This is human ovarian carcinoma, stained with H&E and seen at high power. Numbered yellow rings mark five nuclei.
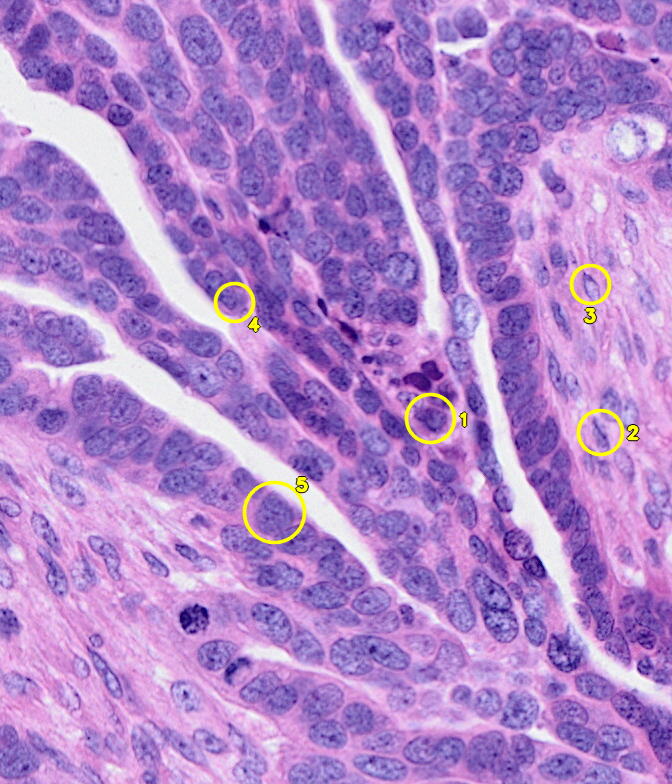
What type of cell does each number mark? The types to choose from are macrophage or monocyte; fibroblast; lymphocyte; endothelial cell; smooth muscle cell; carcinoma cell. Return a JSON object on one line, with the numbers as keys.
{"1": "carcinoma cell", "2": "fibroblast", "3": "fibroblast", "4": "carcinoma cell", "5": "carcinoma cell"}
